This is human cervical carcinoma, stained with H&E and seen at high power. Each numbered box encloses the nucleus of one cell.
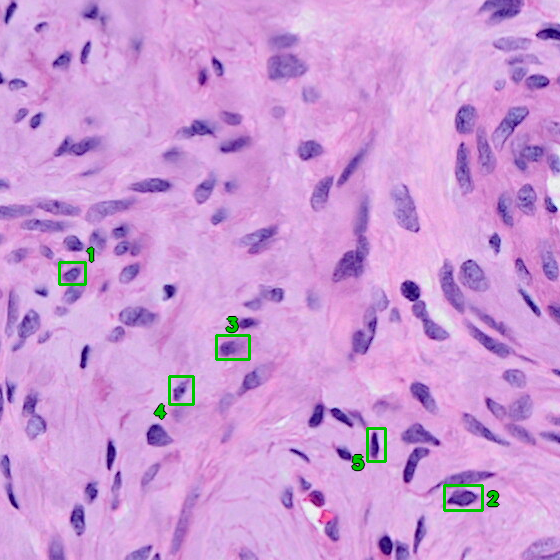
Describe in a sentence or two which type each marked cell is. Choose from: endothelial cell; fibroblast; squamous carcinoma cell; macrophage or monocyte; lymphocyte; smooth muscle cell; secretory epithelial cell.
Cells 1 and 3 are smooth muscle cells. Cells 2, 4 and 5 are fibroblasts.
